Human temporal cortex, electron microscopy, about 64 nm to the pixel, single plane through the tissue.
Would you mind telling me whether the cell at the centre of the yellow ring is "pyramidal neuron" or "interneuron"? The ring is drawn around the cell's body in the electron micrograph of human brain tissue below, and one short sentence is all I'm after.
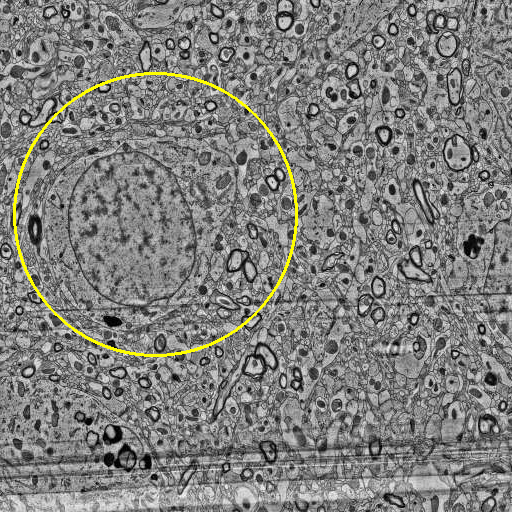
In the centre of the ring lies a pyramidal neuron.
